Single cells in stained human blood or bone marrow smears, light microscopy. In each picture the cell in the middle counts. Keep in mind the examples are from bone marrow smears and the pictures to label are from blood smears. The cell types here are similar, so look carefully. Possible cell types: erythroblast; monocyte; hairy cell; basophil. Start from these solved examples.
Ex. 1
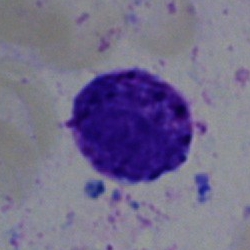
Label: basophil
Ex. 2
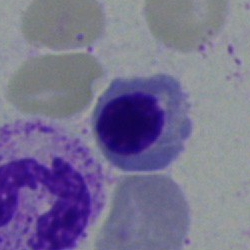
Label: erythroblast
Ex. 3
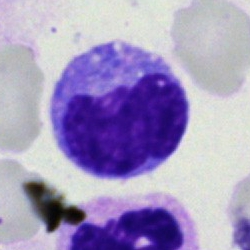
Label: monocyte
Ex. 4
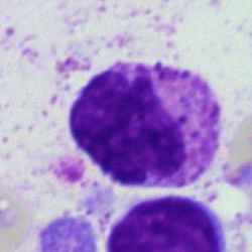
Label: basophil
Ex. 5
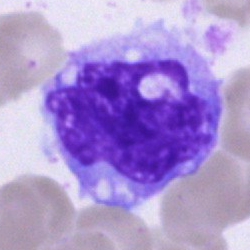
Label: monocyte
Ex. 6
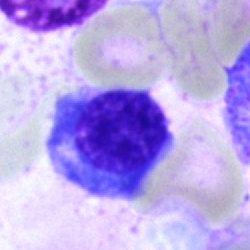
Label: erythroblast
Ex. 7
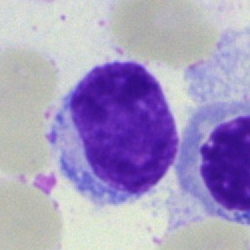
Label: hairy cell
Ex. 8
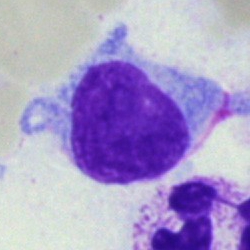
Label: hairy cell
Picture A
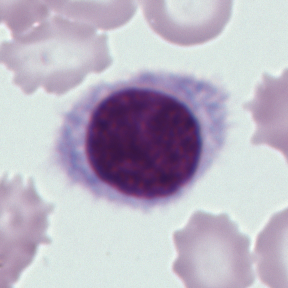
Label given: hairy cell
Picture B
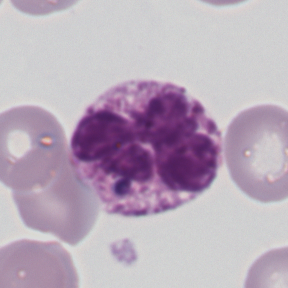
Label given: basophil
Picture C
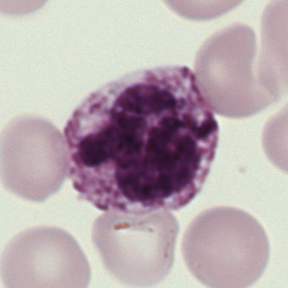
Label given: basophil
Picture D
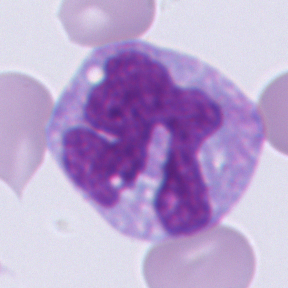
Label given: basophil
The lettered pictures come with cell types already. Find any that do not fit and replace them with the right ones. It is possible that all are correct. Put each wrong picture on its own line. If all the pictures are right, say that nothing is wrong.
D should be monocyte, not basophil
